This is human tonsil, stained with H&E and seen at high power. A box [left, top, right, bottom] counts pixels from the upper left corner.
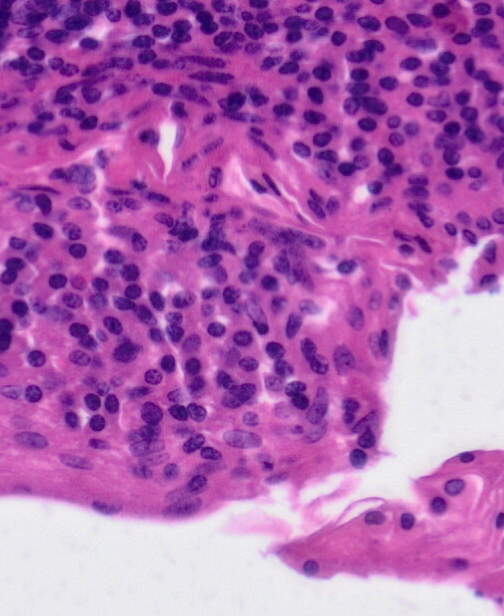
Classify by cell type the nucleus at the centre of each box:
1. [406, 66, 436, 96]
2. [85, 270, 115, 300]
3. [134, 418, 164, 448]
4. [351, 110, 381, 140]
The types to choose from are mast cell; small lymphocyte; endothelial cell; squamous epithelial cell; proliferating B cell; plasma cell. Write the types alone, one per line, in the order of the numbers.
plasma cell
plasma cell
squamous epithelial cell
plasma cell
